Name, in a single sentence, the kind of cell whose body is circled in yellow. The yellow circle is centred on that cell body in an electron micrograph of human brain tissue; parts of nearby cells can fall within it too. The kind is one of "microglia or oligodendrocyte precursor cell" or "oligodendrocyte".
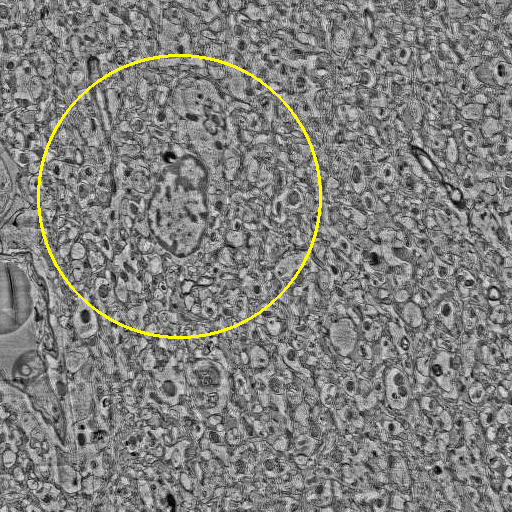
The circled cell body belongs to a microglial cell or oligodendrocyte precursor cell.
